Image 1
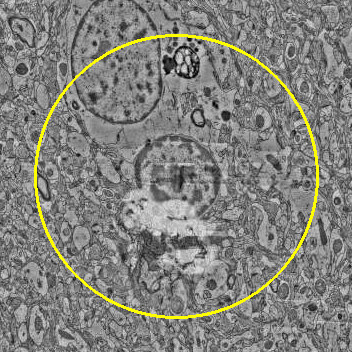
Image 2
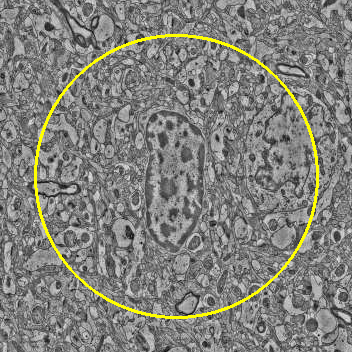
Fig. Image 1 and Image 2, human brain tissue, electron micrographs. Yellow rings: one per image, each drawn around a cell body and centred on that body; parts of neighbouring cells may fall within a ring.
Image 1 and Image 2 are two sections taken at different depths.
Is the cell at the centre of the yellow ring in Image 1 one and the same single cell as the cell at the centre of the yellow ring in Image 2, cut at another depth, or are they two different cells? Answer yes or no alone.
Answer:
no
